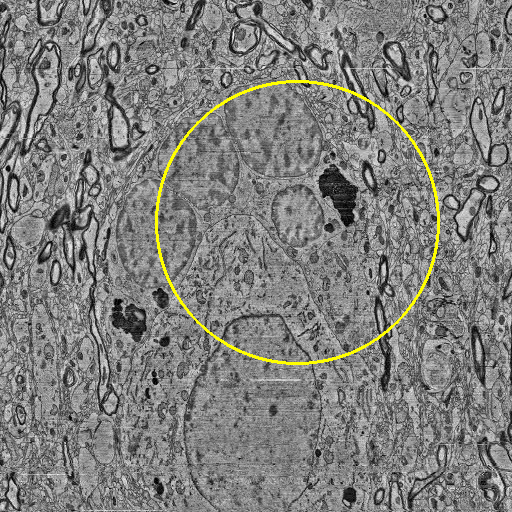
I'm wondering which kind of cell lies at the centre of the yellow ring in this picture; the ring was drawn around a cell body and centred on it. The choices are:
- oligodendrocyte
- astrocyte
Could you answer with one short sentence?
At the centre of the ring lies an oligodendrocyte.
